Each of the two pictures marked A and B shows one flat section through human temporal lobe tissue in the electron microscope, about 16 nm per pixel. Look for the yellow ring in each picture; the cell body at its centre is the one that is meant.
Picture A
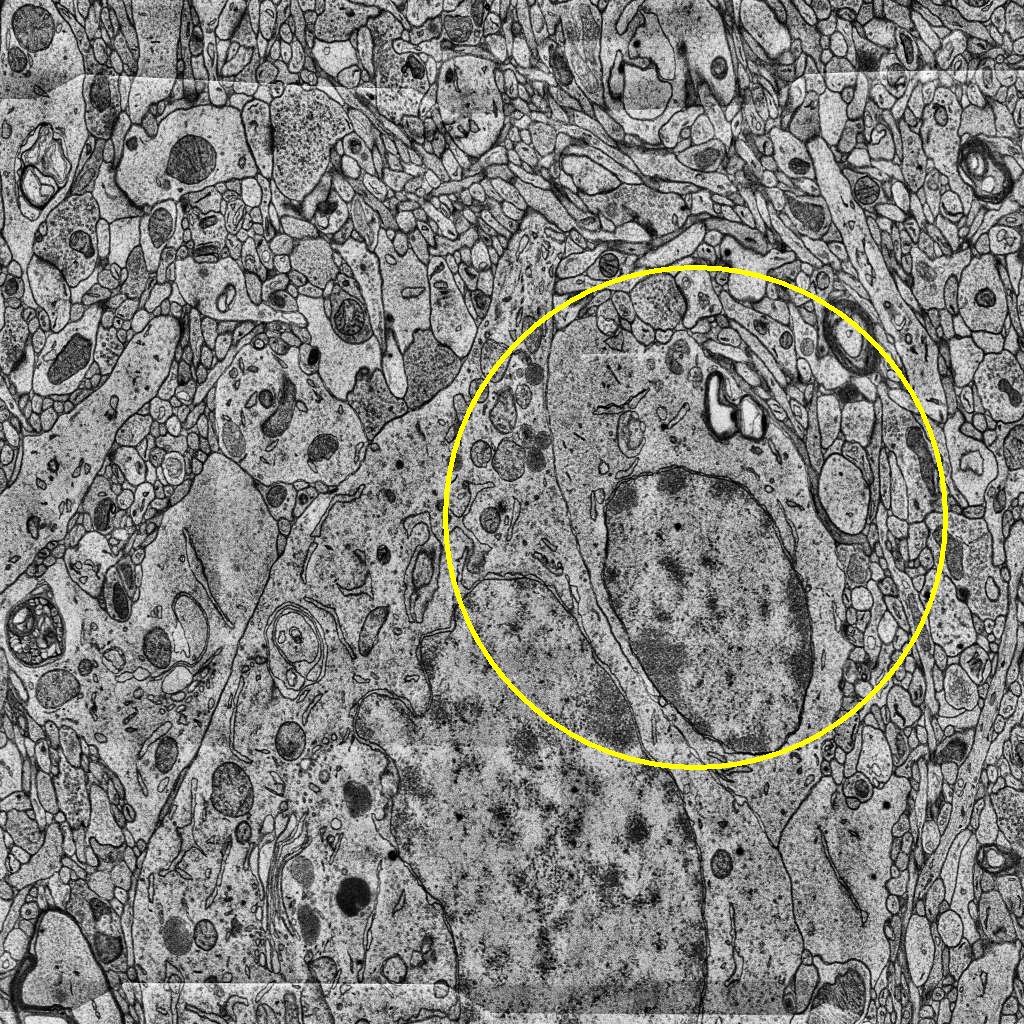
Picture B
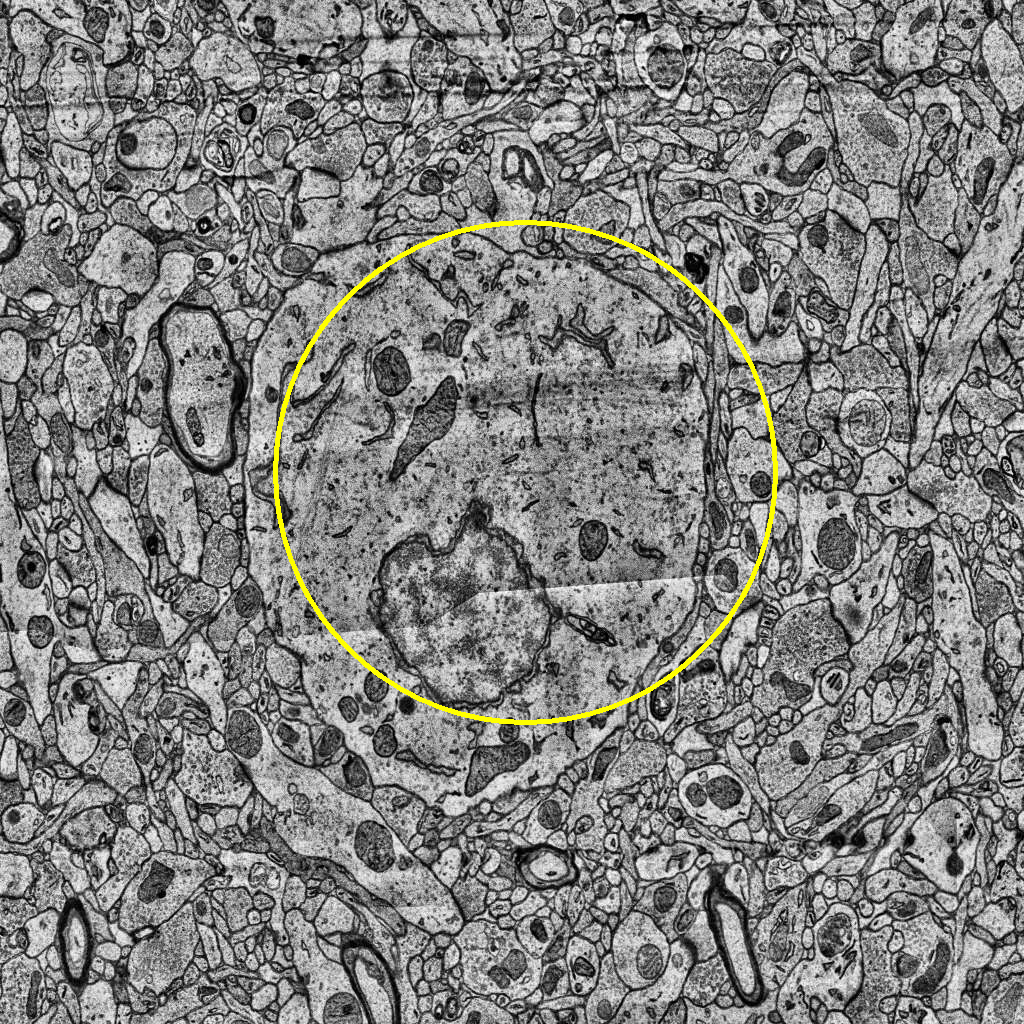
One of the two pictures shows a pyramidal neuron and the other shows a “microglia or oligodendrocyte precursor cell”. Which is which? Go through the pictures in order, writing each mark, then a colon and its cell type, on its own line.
A: microglia or oligodendrocyte precursor cell
B: pyramidal neuron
